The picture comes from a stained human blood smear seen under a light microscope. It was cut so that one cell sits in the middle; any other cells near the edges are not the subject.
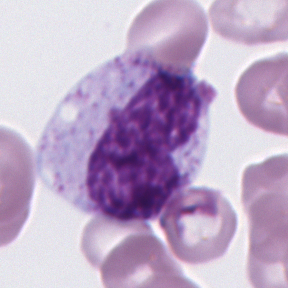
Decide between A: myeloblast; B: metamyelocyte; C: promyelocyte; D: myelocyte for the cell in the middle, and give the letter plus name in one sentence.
The correct response is option B, naming the cell in the middle as a metamyelocyte.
